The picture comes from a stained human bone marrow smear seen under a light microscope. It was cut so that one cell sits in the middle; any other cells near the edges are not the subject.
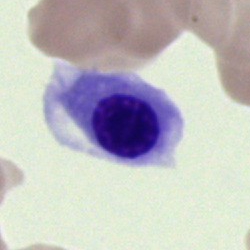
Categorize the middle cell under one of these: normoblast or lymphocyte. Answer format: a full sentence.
The central cell, amid any neighbouring cells, is a normoblast.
